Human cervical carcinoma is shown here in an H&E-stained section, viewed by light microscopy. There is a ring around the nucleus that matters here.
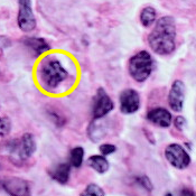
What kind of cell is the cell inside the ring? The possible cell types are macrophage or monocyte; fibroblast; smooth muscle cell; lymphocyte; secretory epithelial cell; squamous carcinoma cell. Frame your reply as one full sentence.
In cellular terms, the cell inside the ring is a lymphocyte.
